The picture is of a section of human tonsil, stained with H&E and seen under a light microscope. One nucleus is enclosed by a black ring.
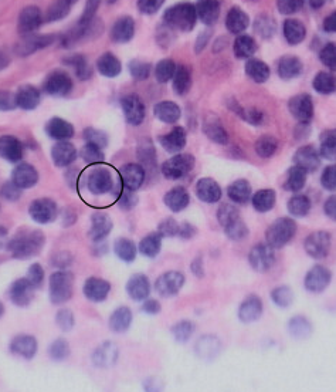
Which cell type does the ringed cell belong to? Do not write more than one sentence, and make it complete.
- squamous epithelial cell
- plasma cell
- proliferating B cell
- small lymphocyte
Within the stained tissue, the ringed cell is a small lymphocyte.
